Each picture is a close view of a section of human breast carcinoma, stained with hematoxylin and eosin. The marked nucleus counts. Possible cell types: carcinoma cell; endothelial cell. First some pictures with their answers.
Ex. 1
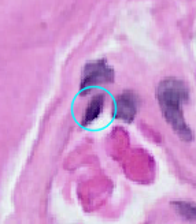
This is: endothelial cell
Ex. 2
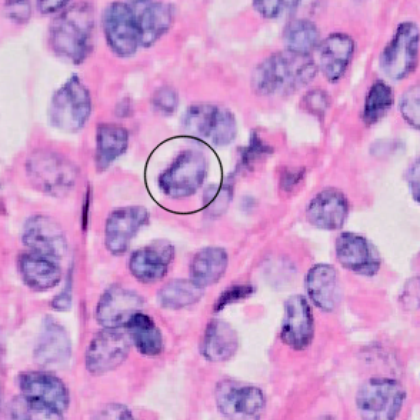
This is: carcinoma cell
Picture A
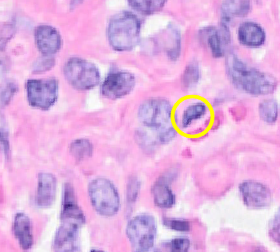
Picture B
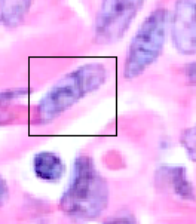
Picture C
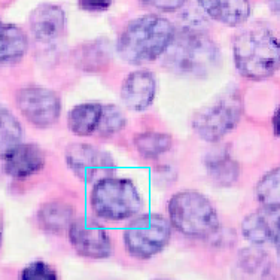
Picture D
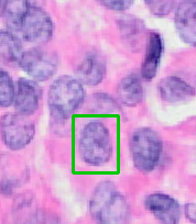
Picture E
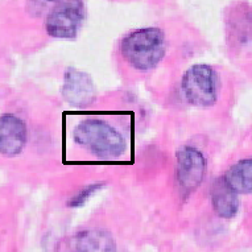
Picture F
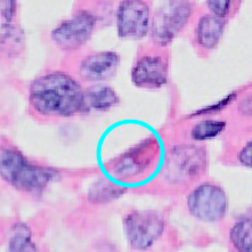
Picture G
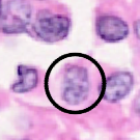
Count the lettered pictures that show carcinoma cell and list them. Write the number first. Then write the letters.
Count: 4 (C, D, E, G)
